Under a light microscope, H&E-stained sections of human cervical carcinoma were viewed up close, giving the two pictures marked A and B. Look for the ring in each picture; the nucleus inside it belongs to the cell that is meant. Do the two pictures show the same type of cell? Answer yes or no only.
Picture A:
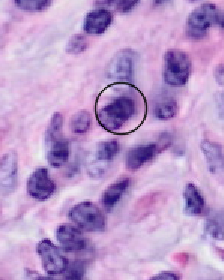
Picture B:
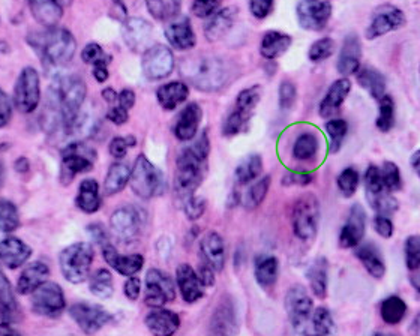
yes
